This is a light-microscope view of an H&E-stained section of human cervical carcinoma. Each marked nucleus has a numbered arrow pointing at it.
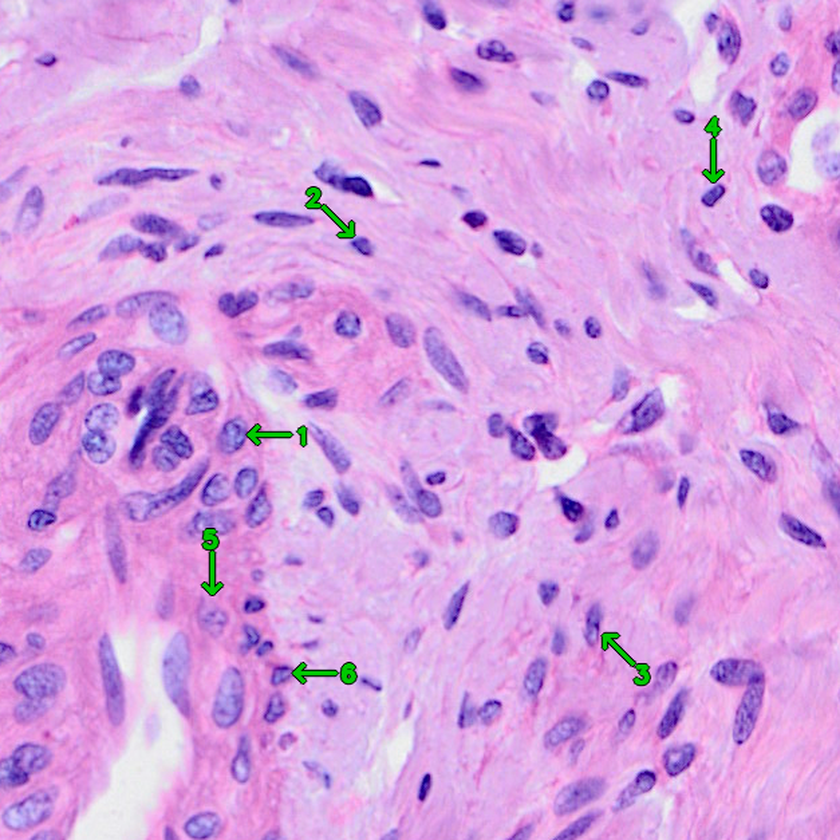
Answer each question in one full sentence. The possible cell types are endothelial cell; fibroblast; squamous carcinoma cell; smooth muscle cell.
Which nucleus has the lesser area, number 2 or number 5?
It is nucleus 2; nucleus 5 has about 3 times its area.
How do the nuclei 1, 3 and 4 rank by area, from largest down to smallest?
Going from the biggest nucleus down to the smallest gives 1, 3, 4.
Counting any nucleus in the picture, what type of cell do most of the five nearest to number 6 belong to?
Smooth muscle cells make up most of the five nuclei closest to number 6.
